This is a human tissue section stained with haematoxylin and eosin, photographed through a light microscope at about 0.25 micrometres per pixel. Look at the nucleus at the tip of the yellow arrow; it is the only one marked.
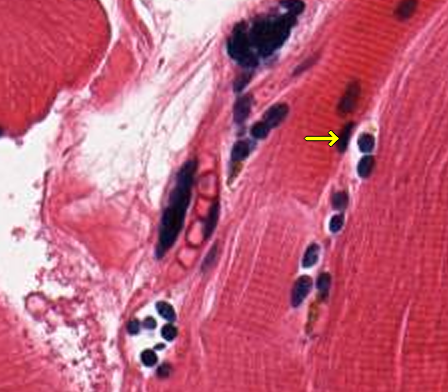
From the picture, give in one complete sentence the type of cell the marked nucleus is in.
The marked nucleus is identified as belonging to a skeletal muscle fibre.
